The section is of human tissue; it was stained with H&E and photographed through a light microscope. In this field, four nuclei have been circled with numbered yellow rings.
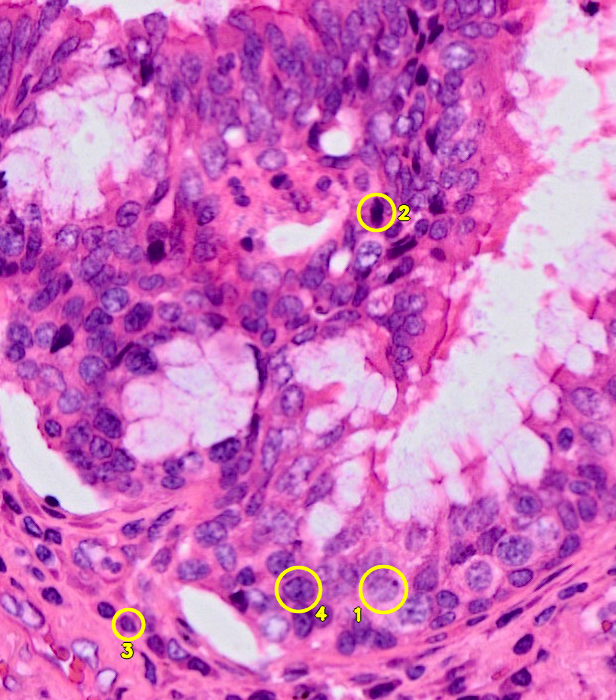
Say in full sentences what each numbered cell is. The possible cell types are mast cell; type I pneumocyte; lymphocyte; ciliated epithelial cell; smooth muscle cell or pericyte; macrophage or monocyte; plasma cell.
Cell 1 is a ciliated epithelial cell, cell 2 is a ciliated epithelial cell, cell 3 is a plasma cell and cell 4 is a ciliated epithelial cell.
